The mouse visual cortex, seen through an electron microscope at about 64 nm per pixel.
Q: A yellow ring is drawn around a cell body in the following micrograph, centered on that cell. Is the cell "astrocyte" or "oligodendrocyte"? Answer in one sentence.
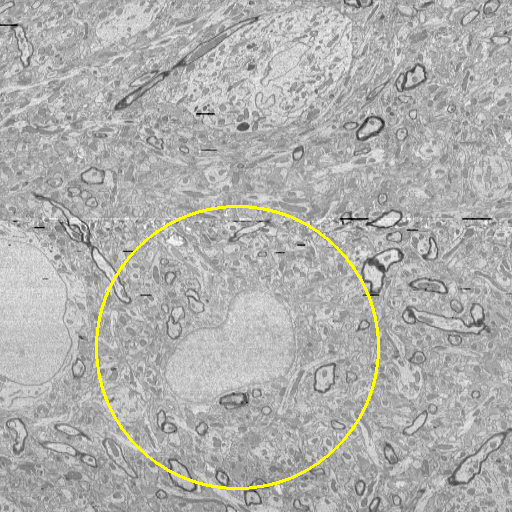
The cell in the center of the ring is an astrocyte.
